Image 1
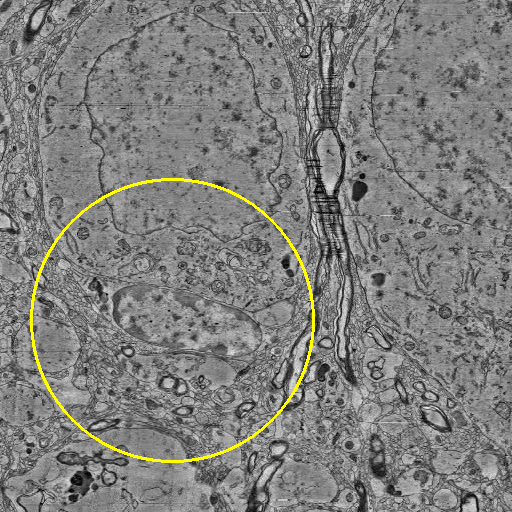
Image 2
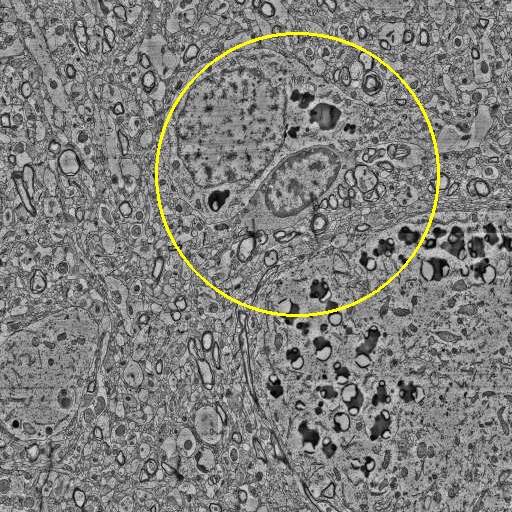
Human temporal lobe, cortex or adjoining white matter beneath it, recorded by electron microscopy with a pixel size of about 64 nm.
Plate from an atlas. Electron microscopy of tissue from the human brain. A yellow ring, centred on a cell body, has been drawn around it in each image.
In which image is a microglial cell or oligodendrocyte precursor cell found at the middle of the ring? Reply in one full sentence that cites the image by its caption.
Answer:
The requested cell is the one at the ring's centre in Image 1.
